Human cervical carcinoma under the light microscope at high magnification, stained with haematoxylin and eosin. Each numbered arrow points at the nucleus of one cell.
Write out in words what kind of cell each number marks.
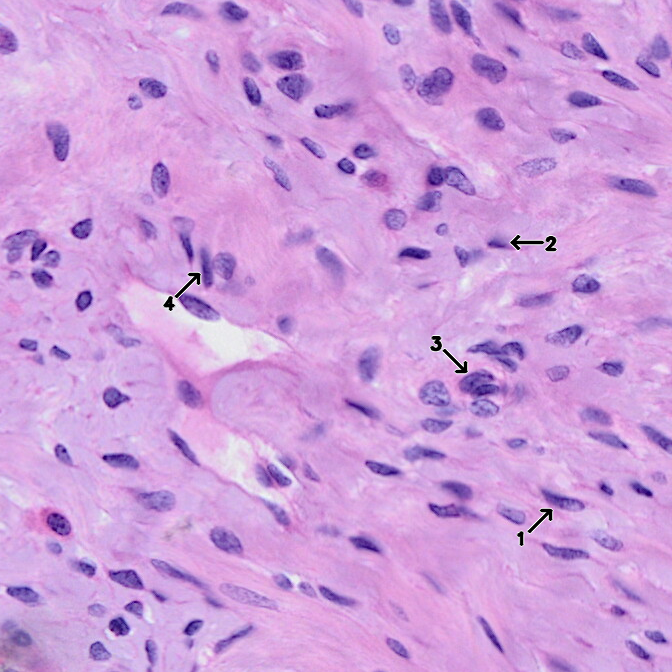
Cells 1, 2 and 4 are fibroblasts. Cell 3 is an endothelial cell.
